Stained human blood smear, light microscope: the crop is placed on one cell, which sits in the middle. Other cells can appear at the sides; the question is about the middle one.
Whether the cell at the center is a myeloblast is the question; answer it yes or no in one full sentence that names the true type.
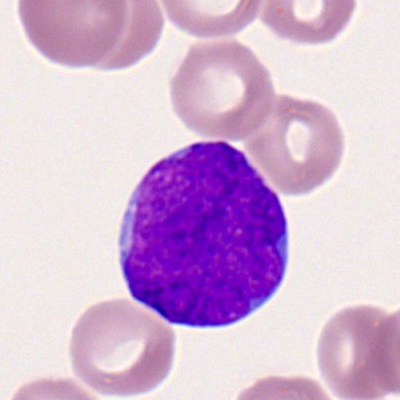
Yes, the cell in the central position is a myeloblast.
